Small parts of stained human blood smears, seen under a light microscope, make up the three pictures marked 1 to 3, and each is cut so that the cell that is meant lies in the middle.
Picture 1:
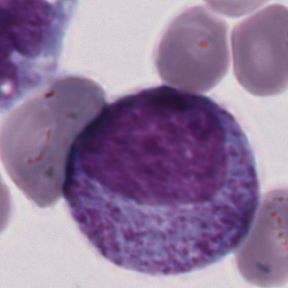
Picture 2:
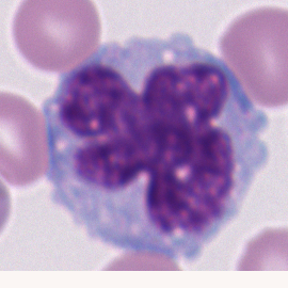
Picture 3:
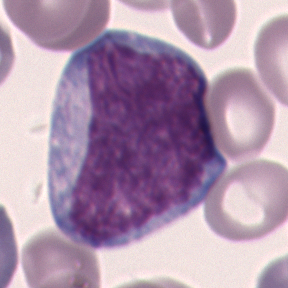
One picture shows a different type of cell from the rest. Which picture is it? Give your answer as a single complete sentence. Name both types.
The others show promyelocytes, but picture 2 shows a monocyte.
